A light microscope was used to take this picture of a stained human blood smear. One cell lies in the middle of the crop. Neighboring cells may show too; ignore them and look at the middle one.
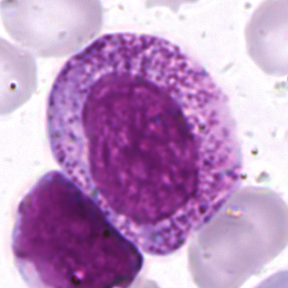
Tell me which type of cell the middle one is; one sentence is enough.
In the middle of this smear crop is a myelocyte.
